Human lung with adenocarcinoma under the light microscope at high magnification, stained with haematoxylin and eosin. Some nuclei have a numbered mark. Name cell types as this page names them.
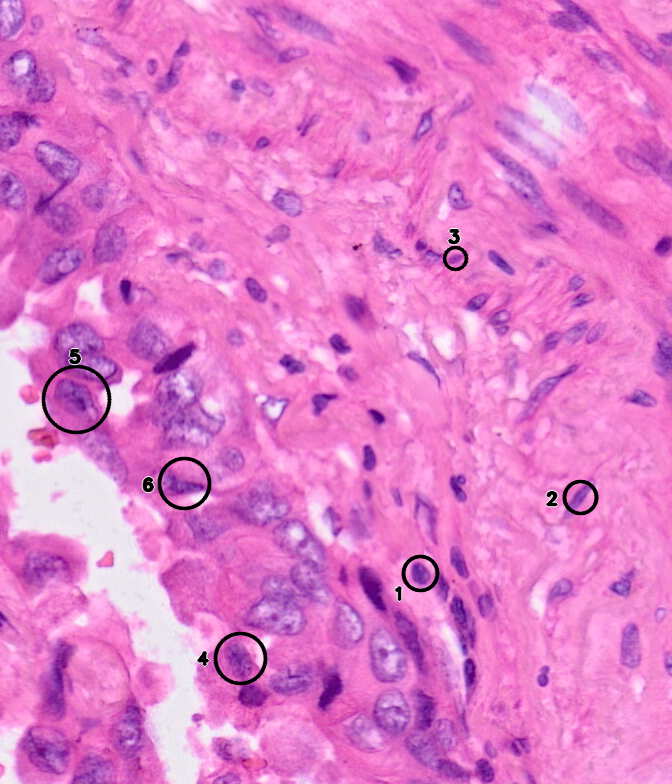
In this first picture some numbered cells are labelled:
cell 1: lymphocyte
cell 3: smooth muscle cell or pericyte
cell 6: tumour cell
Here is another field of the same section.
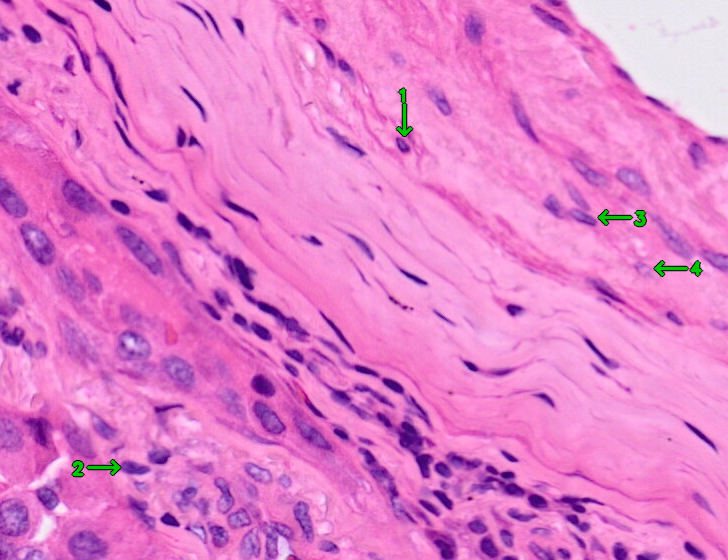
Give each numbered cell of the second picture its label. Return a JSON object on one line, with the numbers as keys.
{"1": "smooth muscle cell or pericyte", "2": "lymphocyte", "3": "smooth muscle cell or pericyte", "4": "smooth muscle cell or pericyte"}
